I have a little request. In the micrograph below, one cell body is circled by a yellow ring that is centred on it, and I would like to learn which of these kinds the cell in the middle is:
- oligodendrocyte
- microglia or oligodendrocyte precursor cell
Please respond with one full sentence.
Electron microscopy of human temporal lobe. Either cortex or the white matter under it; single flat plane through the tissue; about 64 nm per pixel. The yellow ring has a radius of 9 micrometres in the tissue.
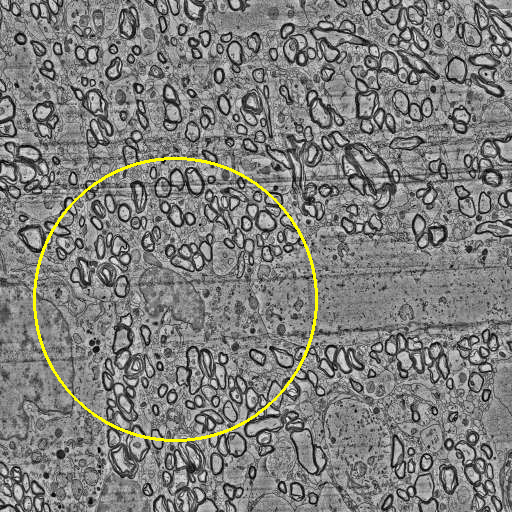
The cell sitting in the middle of the yellow ring in the micrograph is an oligodendrocyte.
